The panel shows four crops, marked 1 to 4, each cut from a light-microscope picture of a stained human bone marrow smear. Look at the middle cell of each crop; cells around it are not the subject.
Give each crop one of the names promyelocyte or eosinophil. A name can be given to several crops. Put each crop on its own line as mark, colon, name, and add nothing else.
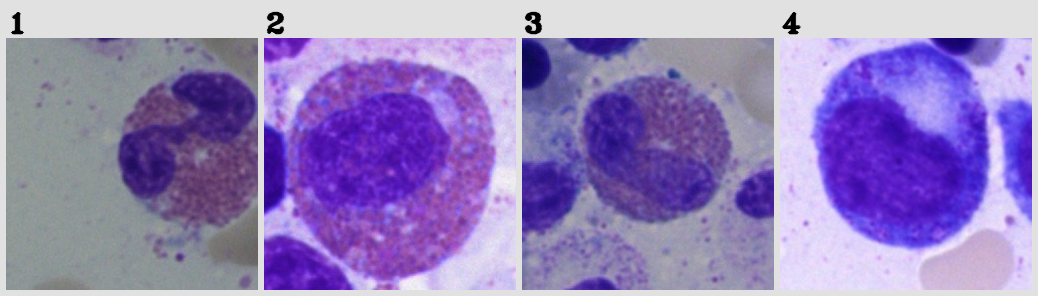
1: eosinophil
2: eosinophil
3: eosinophil
4: promyelocyte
